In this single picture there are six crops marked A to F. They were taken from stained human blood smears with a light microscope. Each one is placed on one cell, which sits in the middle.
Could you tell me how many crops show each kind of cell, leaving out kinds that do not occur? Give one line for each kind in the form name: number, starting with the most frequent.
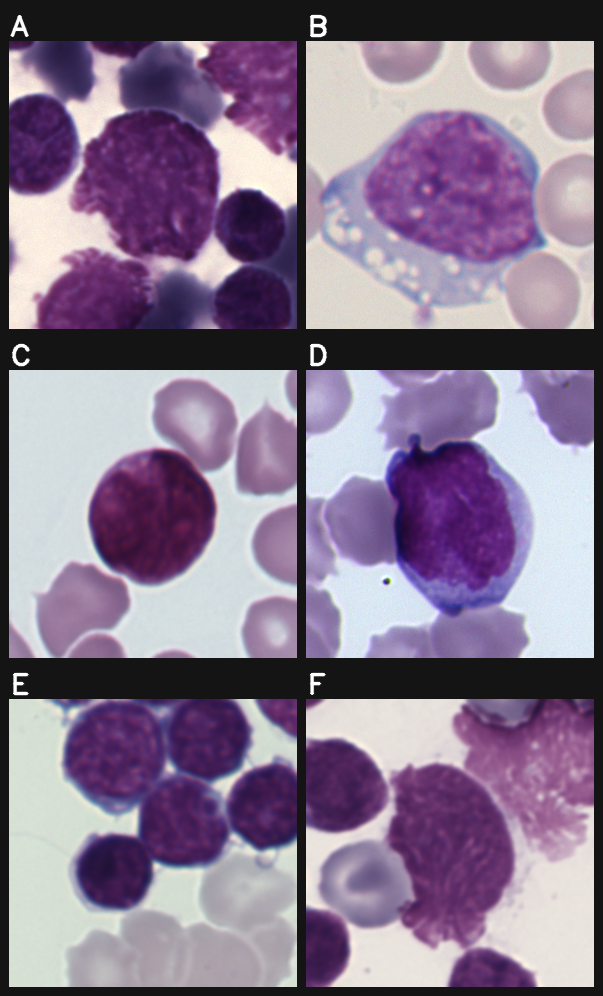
myeloblast: 4
smudge cell: 2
